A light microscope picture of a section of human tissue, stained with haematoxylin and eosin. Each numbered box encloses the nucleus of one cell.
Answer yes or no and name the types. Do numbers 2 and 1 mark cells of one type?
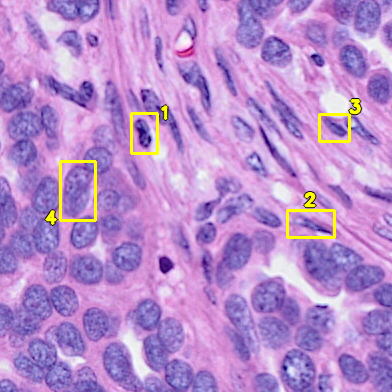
No, cell 2 is a fibroblast and cell 1 is a lymphocyte.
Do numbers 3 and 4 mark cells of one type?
No, cell 3 is a fibroblast and cell 4 is a carcinoma cell.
